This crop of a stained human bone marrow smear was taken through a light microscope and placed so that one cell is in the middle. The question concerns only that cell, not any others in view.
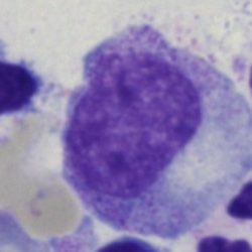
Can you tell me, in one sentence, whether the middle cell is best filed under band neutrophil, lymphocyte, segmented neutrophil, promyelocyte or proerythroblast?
As for the central cell, it is a promyelocyte.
